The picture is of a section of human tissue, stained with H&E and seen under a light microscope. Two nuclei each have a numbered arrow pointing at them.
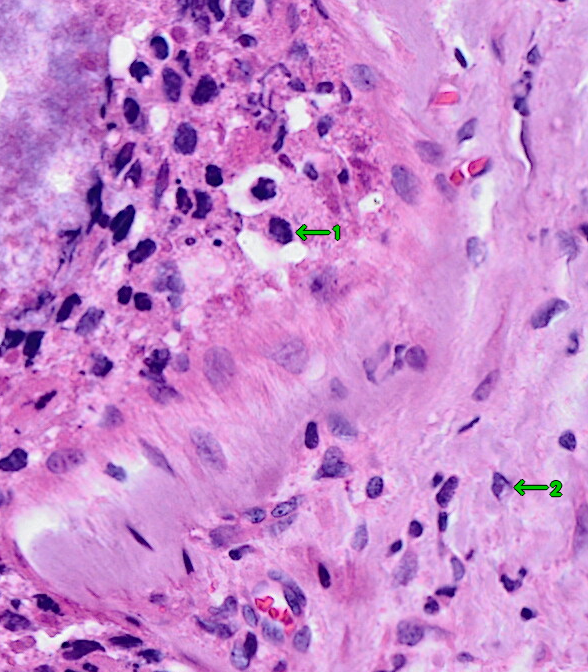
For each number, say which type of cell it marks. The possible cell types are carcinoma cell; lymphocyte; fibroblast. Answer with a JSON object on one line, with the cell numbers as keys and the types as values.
{"1": "carcinoma cell", "2": "fibroblast"}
